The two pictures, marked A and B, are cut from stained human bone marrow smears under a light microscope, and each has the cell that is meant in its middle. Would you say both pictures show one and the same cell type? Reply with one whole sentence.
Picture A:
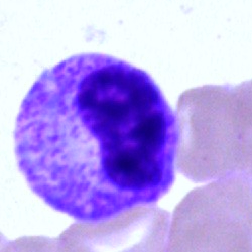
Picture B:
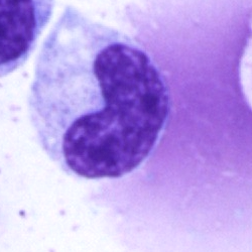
Yes, both are metamyelocytes.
